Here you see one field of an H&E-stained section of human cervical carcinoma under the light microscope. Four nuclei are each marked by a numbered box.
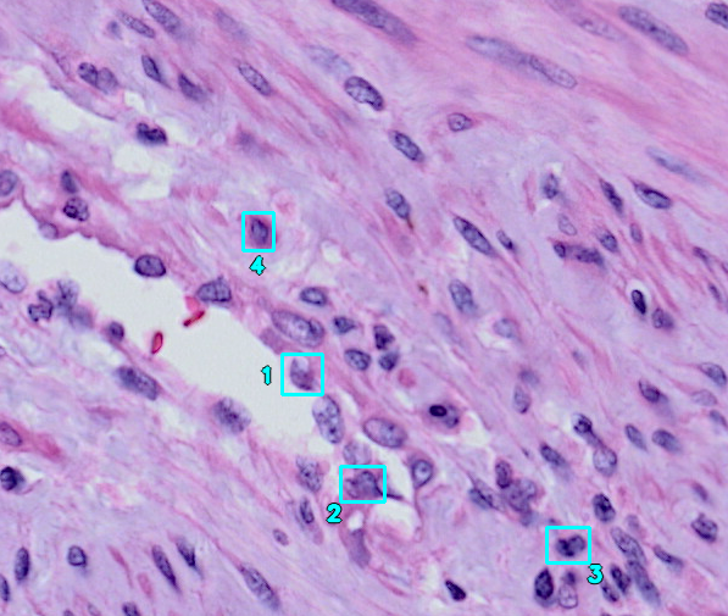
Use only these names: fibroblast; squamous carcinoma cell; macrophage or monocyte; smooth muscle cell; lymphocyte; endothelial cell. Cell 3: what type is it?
lymphocyte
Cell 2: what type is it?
endothelial cell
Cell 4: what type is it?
smooth muscle cell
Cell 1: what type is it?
endothelial cell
